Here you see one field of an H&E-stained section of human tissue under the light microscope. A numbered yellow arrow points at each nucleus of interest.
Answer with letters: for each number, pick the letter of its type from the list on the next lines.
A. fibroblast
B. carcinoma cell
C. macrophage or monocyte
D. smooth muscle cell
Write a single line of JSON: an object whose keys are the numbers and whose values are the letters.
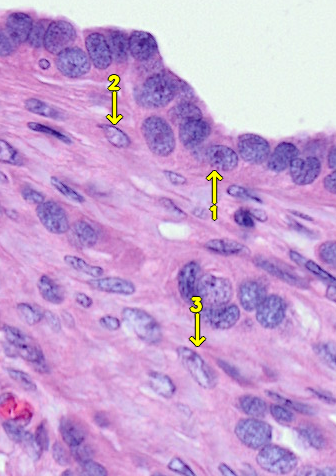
{"1": "B", "2": "A", "3": "A"}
